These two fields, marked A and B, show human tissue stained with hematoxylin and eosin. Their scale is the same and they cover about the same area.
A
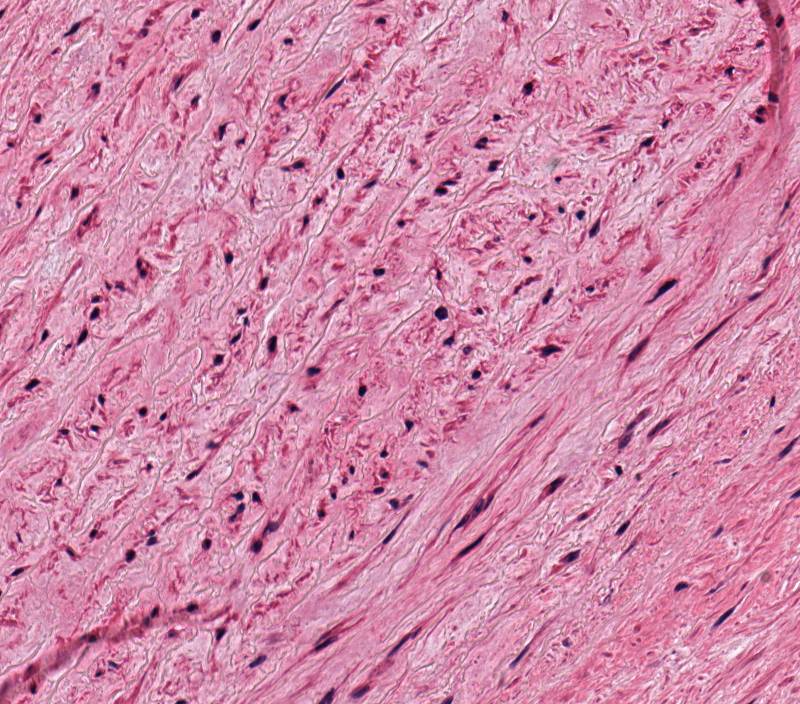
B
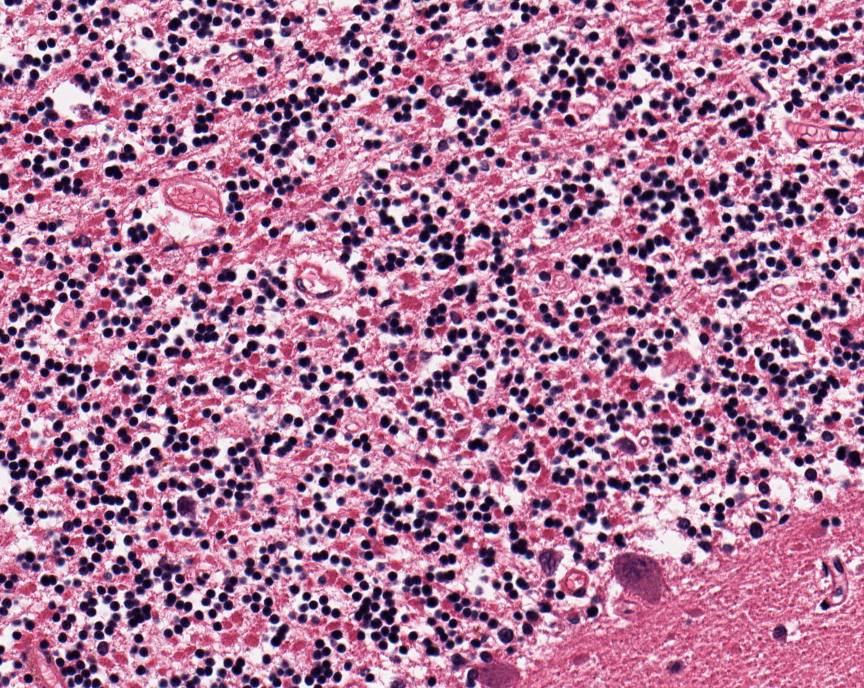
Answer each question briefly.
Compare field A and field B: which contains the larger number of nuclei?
B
